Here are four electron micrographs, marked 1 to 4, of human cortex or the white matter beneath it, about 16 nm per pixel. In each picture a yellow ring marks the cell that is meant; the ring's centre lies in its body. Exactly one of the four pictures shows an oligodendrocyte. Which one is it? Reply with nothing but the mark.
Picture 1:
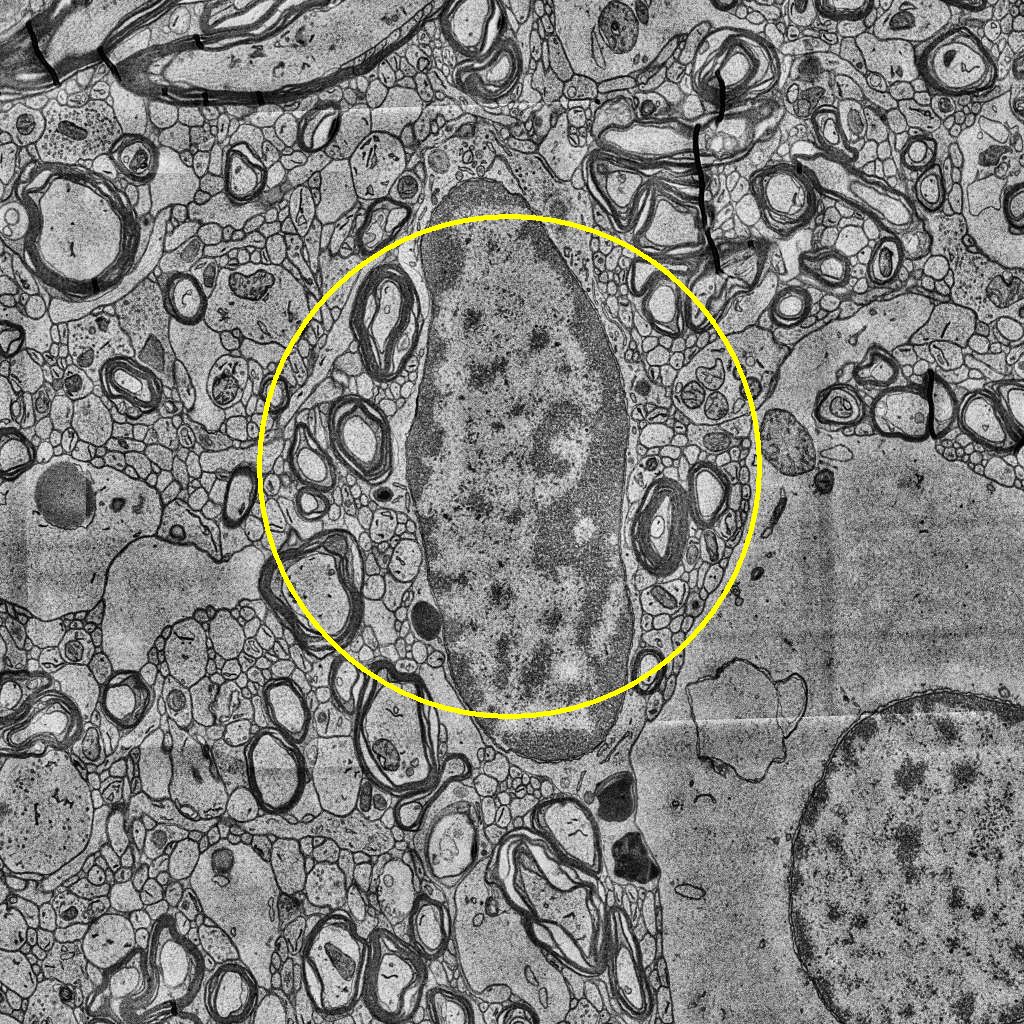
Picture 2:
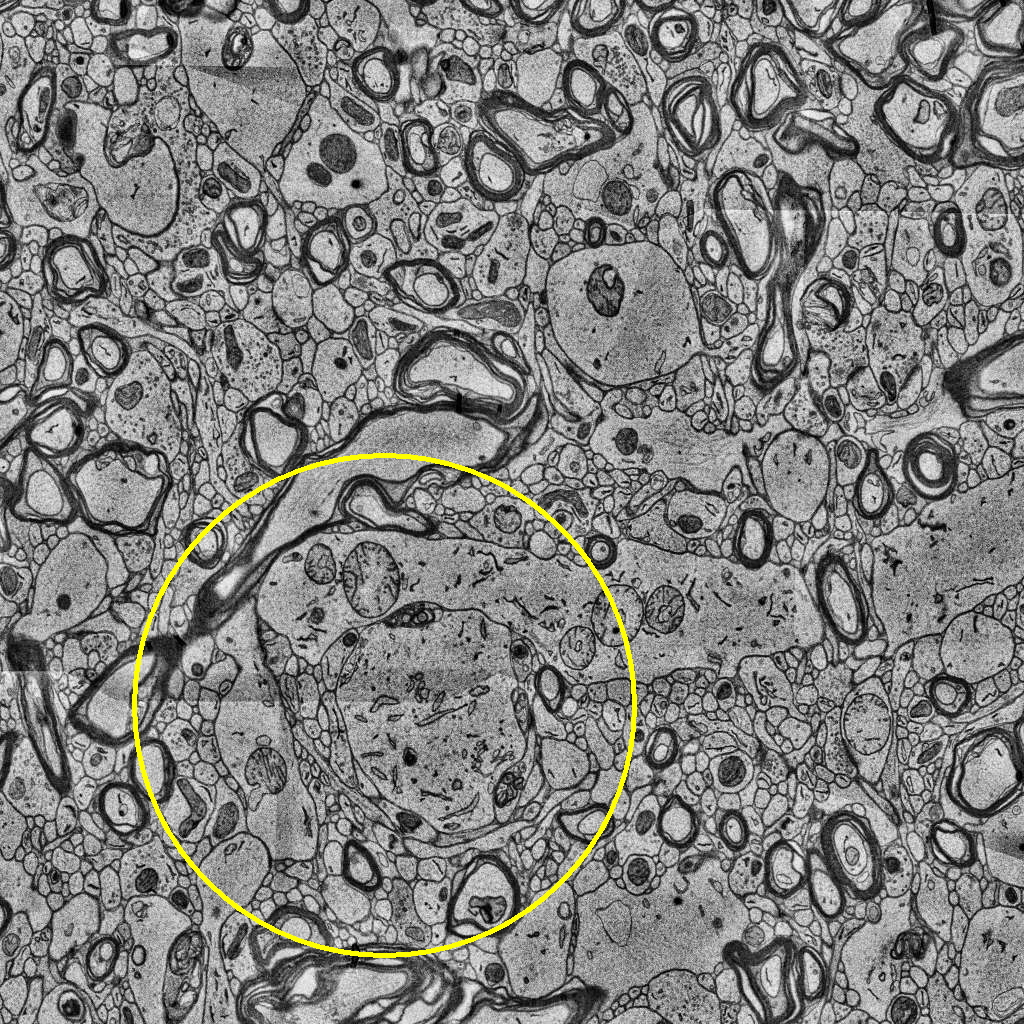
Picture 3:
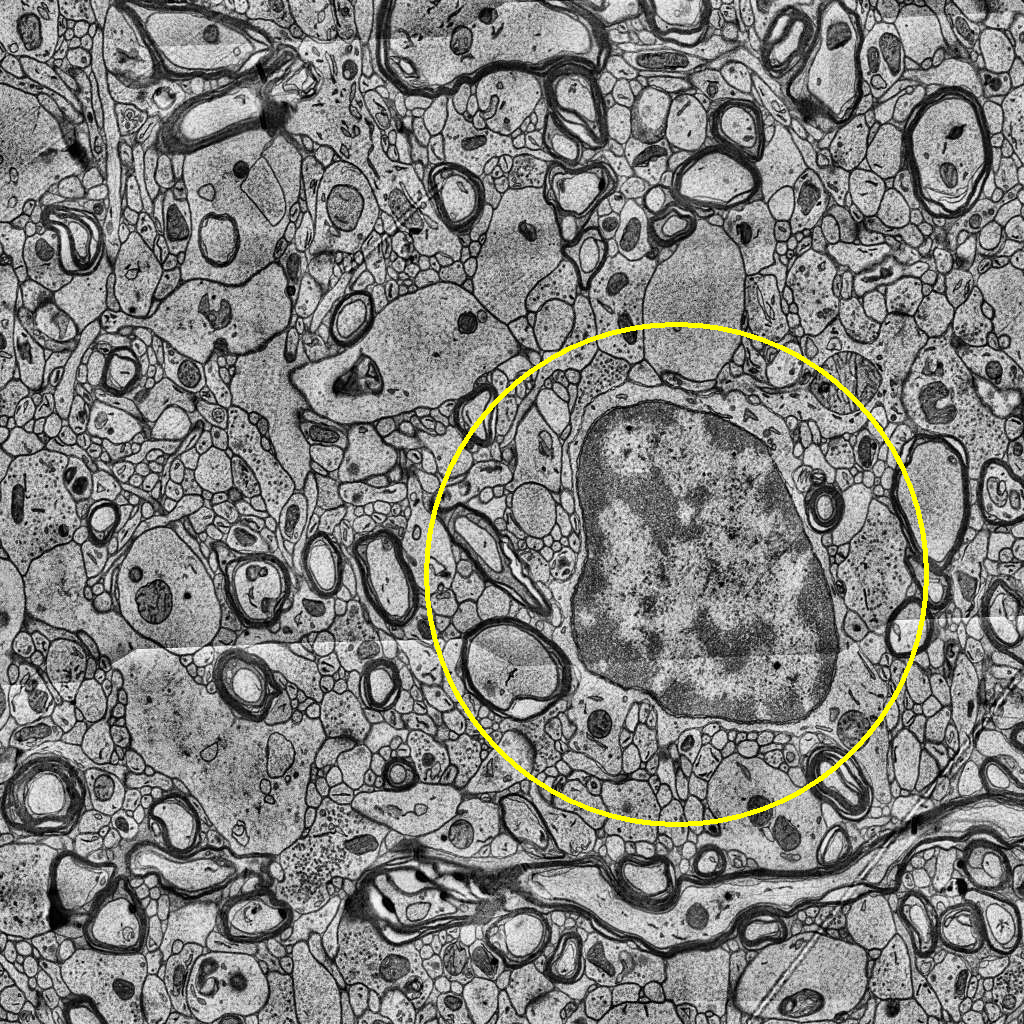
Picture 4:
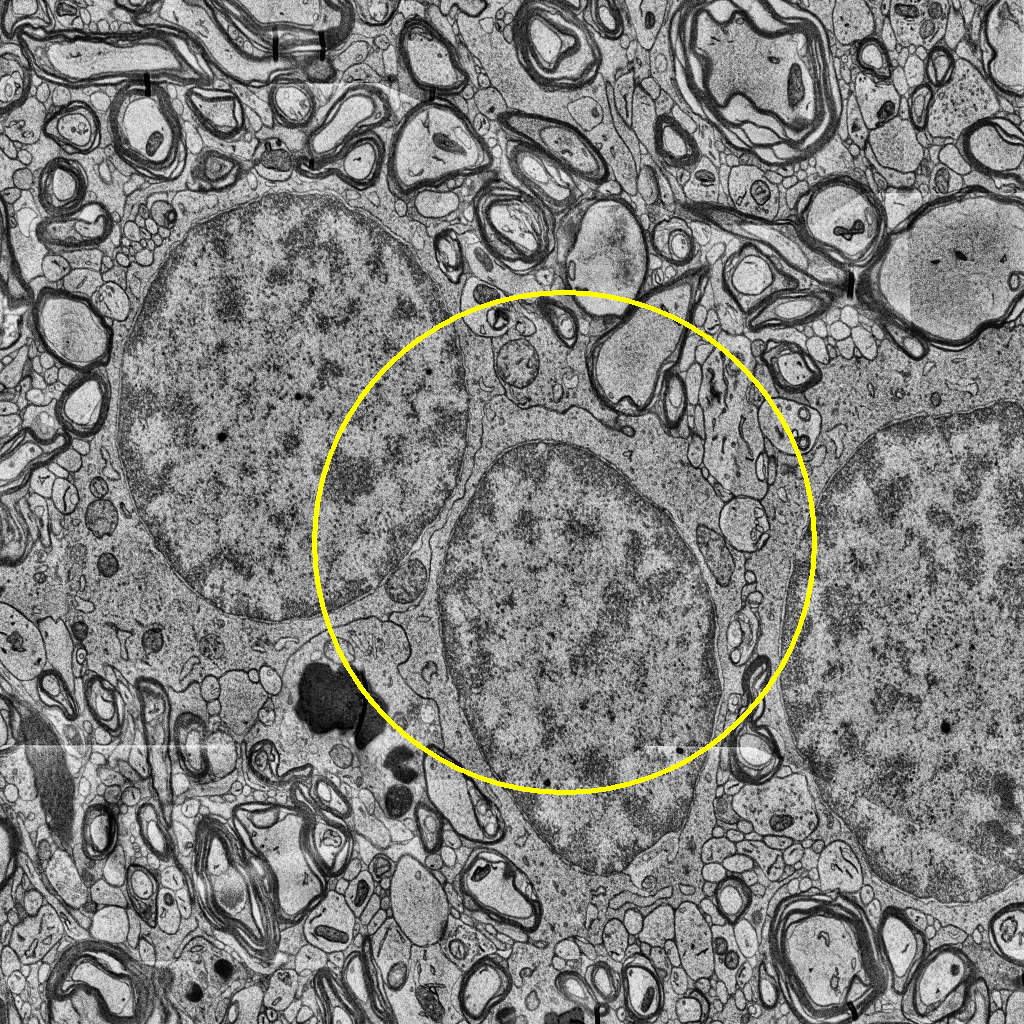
4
